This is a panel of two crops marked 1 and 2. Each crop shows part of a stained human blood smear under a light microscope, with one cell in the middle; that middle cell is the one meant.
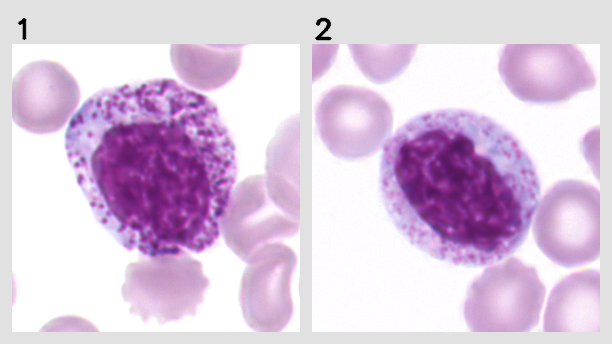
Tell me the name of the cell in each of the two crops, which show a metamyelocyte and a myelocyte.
1: myelocyte
2: metamyelocyte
